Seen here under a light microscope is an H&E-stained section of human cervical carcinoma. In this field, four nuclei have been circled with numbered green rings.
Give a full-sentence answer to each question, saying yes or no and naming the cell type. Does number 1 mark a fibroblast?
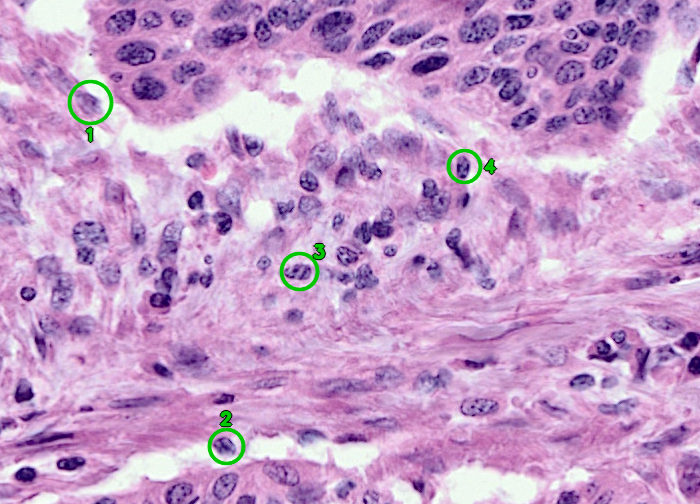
Yes, the cell to which number 1 refers is a fibroblast.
